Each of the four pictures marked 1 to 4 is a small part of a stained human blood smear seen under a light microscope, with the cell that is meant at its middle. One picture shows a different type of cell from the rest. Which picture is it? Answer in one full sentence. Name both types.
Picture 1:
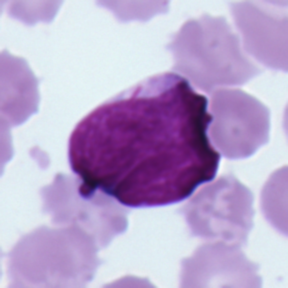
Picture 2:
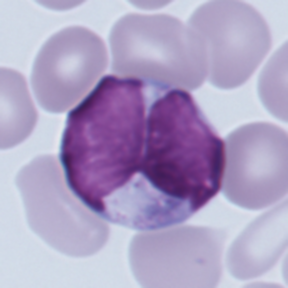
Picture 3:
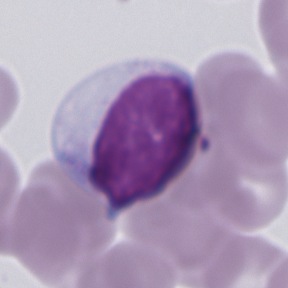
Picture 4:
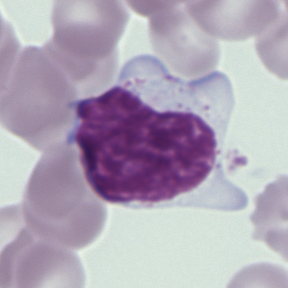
Picture 1 is the odd one out: it shows a myeloblast, while the others show large granular lymphocytes.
